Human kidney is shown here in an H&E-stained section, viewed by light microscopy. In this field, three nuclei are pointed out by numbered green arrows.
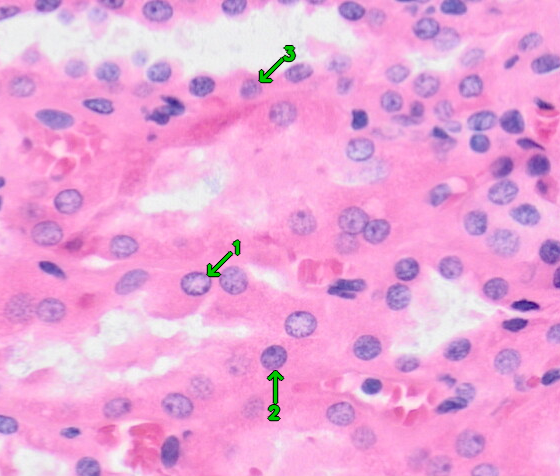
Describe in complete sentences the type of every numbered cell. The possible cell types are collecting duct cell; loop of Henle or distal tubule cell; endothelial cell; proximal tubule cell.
Cells 1 and 2 are proximal tubule cells. Cell 3 is a loop of Henle or distal tubule cell.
